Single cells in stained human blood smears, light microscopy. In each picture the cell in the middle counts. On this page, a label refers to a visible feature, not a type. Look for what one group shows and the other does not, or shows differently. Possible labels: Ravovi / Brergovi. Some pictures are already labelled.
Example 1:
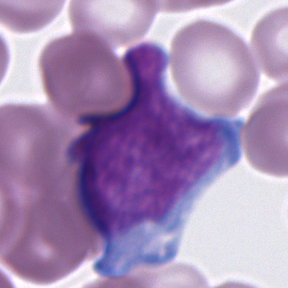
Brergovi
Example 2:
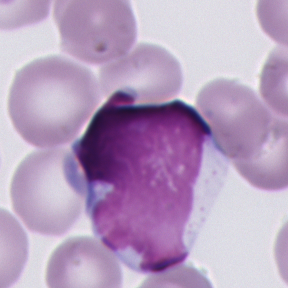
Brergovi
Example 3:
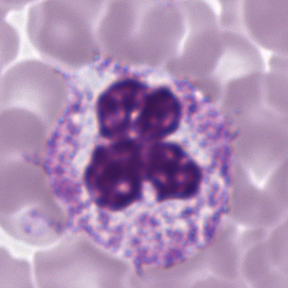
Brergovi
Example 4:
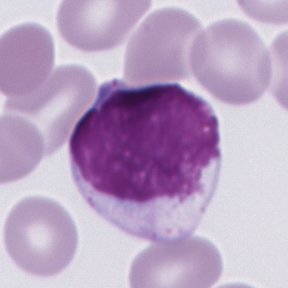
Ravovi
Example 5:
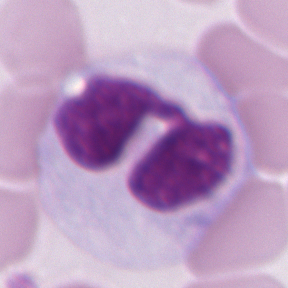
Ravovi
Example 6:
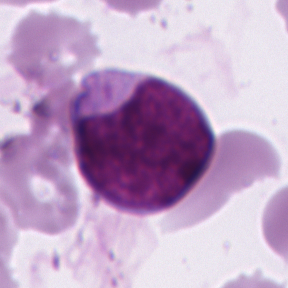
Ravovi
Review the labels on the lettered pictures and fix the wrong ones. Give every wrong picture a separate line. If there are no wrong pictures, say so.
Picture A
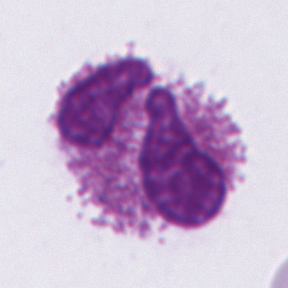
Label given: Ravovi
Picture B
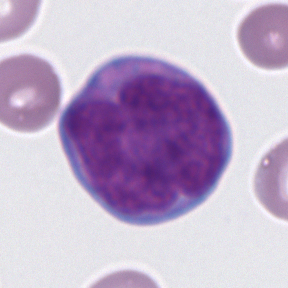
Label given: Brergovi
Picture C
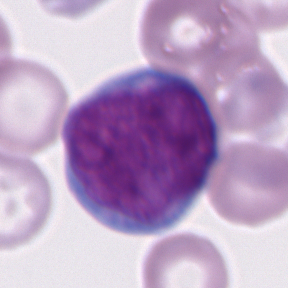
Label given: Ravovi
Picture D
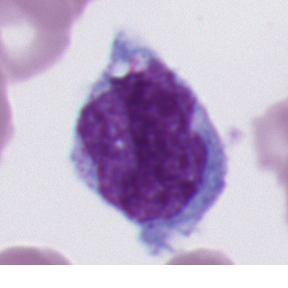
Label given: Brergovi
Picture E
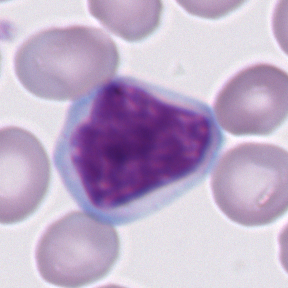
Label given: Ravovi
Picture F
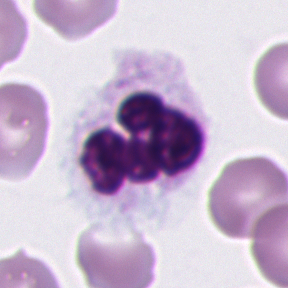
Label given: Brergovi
A: not Ravovi but Brergovi
B: not Brergovi but Ravovi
